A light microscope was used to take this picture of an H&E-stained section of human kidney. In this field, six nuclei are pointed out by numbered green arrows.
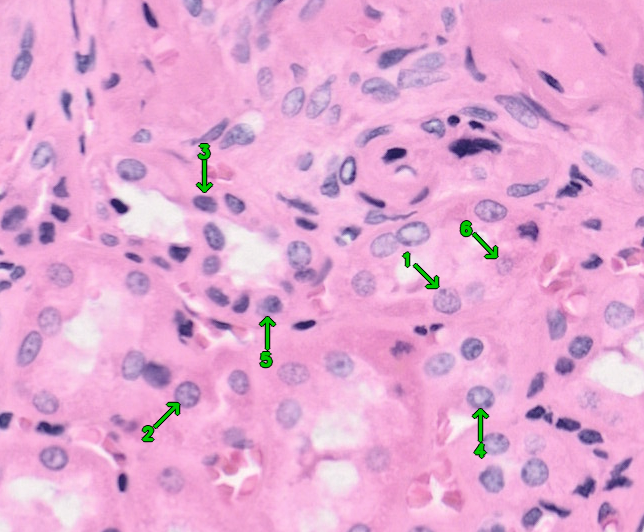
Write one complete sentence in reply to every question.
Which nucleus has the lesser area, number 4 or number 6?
Nucleus 6 is the smaller one; nucleus 4 covers about 2 times its area.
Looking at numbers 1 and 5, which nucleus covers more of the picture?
The larger nucleus is 1, at roughly 1.5 times the area of 5.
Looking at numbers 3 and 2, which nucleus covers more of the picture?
It is nucleus 2, which covers about 1.5 times the area of nucleus 3.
